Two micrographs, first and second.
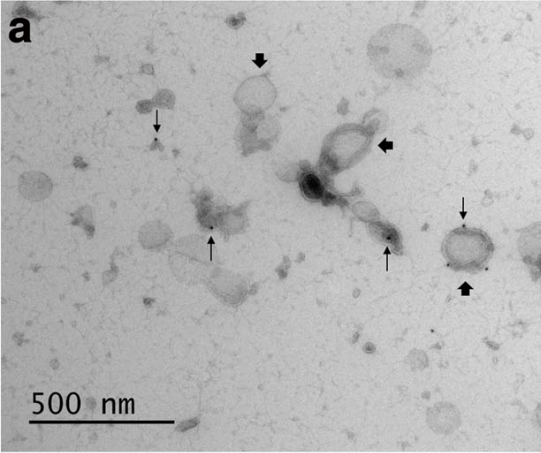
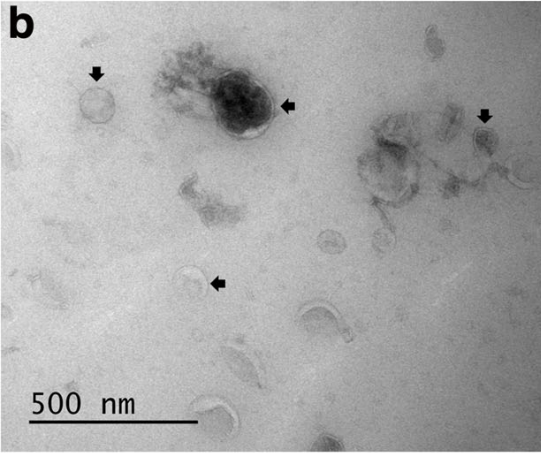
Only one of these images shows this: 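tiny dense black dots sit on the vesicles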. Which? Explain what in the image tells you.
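Second image: the vesicles show no tiny black dots on their rims. First image: small sharp black dots, pointed at by thin arrows, lie on the rims of several vesicles.
Hence: the first image.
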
